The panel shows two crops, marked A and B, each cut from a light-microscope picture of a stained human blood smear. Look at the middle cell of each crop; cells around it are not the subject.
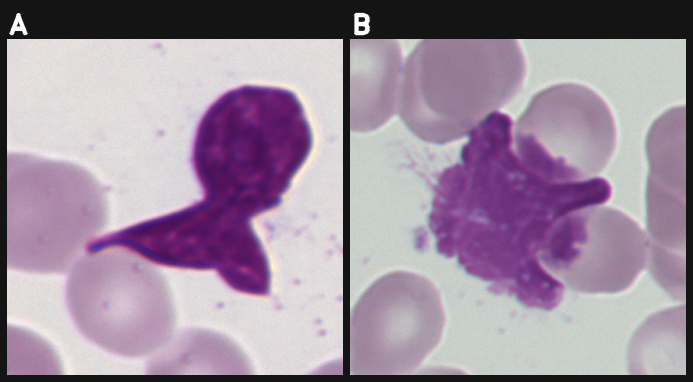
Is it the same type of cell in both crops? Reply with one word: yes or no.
yes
